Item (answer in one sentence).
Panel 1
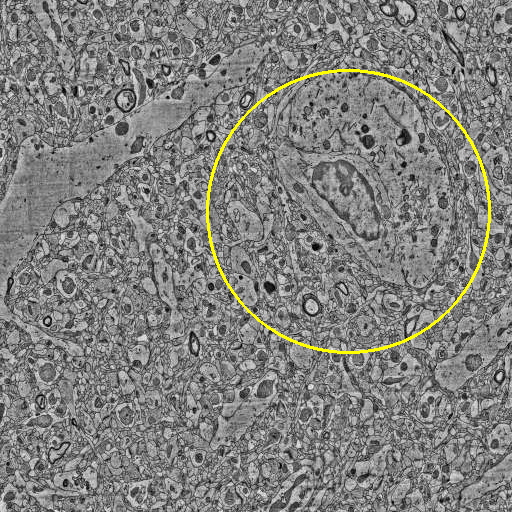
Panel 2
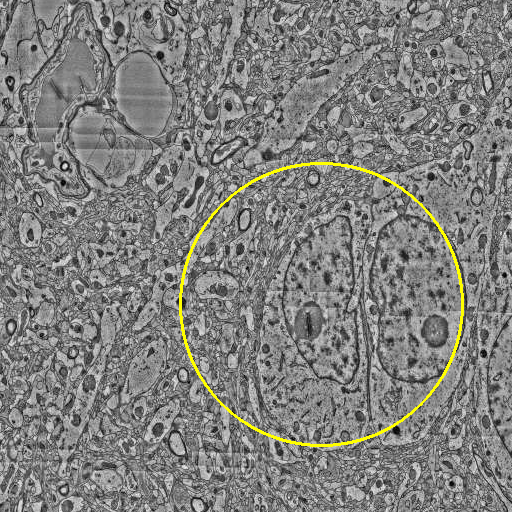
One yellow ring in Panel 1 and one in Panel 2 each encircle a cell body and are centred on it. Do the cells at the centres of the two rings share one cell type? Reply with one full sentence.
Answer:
No, Panel 1 and Panel 2 show cells of two types at the centres of their rings.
